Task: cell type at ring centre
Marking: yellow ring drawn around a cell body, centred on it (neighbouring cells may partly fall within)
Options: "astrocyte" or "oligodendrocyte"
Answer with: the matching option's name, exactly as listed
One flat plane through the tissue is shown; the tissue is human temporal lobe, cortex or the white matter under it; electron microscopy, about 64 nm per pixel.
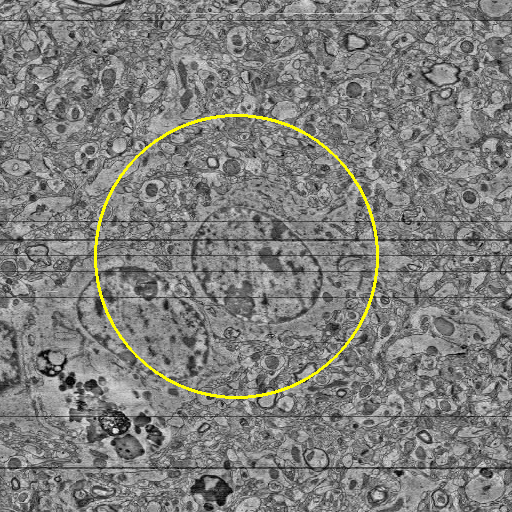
astrocyte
